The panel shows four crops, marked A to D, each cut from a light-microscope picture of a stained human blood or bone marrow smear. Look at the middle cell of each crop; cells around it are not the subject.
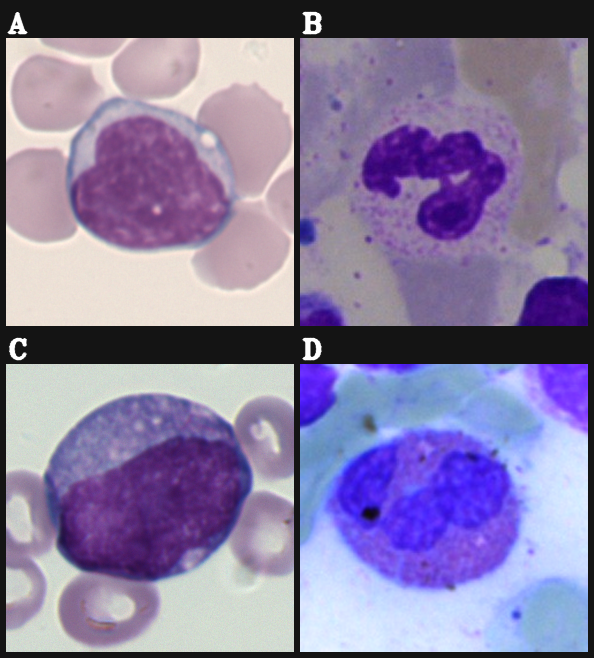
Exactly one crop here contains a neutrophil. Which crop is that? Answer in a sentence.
The crop that has a neutrophil in the middle is crop B.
